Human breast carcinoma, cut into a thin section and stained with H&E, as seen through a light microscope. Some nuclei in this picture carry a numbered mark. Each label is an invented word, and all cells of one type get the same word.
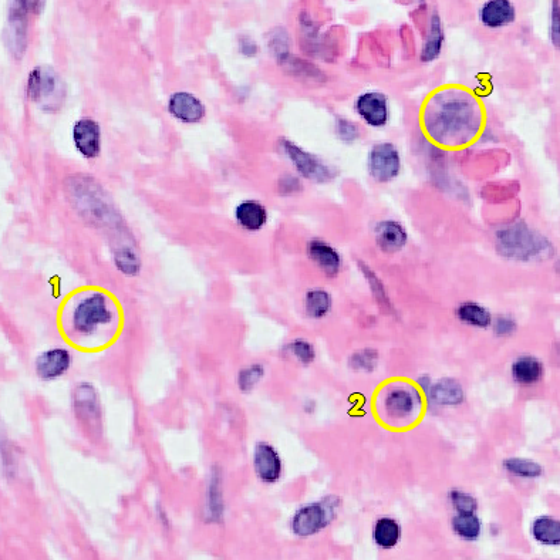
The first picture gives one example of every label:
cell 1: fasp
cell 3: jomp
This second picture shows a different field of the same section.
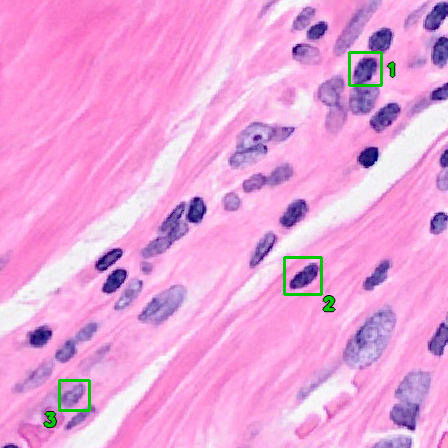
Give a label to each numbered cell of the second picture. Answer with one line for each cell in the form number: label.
1: fasp
2: fasp
3: jomp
